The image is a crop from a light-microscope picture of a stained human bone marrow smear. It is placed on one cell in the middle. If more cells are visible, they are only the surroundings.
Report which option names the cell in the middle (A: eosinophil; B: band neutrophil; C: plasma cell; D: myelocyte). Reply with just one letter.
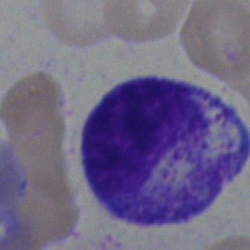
D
